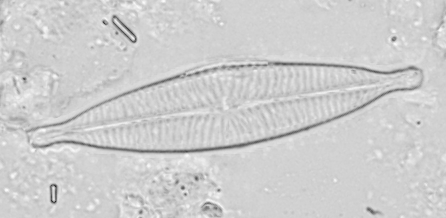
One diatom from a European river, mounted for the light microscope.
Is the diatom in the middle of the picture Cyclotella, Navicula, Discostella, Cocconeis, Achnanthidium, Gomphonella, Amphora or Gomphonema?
It is Navicula.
